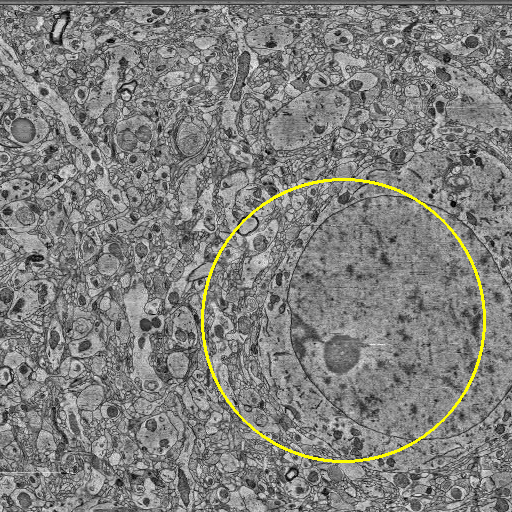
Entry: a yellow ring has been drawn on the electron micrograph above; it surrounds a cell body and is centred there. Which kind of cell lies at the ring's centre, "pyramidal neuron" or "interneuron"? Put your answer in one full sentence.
The cell sitting at the ring's centre is a pyramidal neuron in the micrograph above.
